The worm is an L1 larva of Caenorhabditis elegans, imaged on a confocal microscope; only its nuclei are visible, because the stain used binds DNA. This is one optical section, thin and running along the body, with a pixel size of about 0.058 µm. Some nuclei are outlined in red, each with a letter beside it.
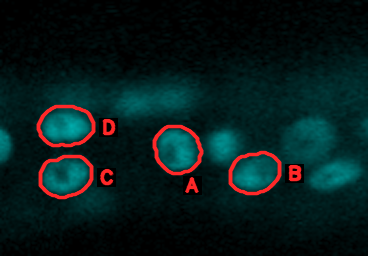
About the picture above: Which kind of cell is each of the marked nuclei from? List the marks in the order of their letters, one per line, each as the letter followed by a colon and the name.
A: seam cell
B: hypodermal cell (hyp)
C: hypodermal cell (hyp)
D: P cell (ventral epidermal blast cell)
